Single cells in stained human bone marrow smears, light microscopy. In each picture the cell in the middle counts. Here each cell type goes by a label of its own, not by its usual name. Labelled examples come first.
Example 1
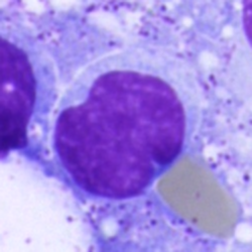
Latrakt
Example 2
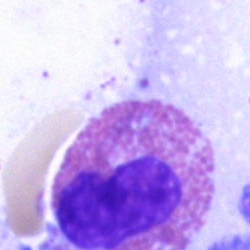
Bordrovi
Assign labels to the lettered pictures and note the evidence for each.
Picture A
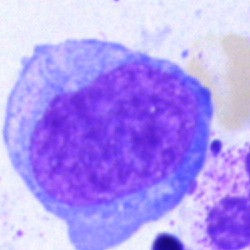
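Answer: Latrakt. The nucleus fills most of the cell, leaving a rim of cytoplasm that is widest on the left side.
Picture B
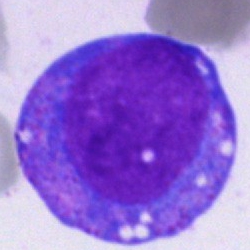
Answer: Latrakt. The chromatin is finely granular rather than coarsely clumped.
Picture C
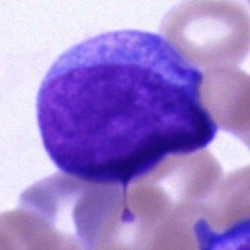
Answer: Latrakt. The cytoplasm is a scant rim of deep blue, seen mainly along the upper edge.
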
